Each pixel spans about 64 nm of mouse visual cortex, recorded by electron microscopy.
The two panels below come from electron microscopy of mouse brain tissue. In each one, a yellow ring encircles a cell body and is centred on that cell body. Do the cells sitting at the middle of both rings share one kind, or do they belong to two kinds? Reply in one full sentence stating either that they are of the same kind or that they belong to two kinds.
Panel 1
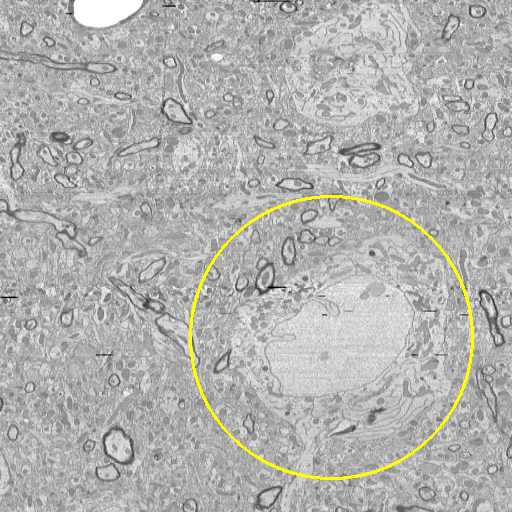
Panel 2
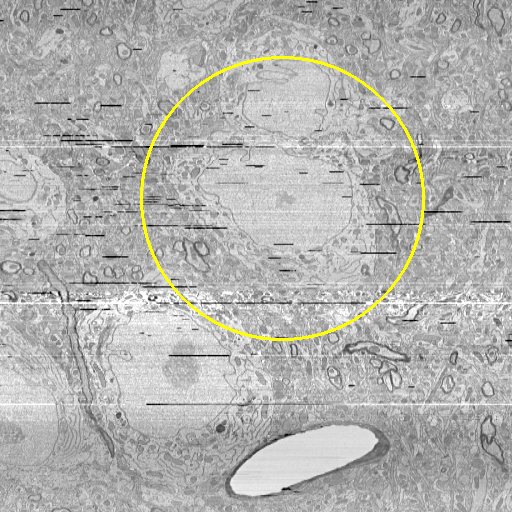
The cells at the centres of the two rings are of the same kind.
